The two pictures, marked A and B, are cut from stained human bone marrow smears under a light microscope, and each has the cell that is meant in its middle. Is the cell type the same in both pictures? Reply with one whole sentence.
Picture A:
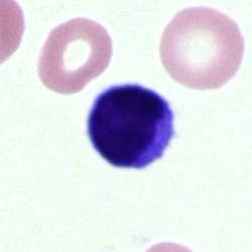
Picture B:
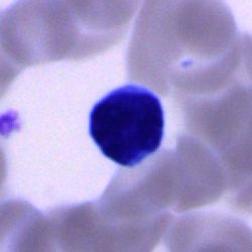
Yes, both cells are lymphocytes.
